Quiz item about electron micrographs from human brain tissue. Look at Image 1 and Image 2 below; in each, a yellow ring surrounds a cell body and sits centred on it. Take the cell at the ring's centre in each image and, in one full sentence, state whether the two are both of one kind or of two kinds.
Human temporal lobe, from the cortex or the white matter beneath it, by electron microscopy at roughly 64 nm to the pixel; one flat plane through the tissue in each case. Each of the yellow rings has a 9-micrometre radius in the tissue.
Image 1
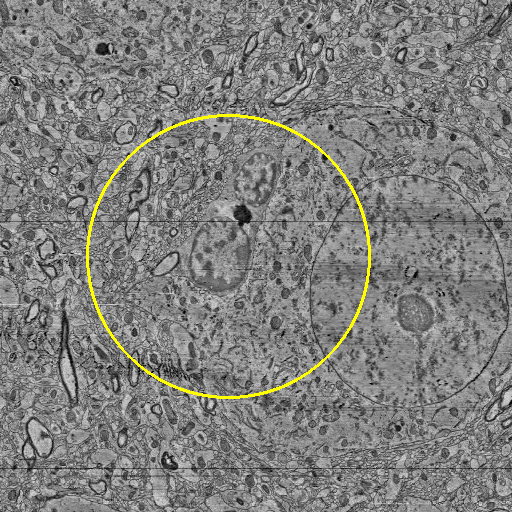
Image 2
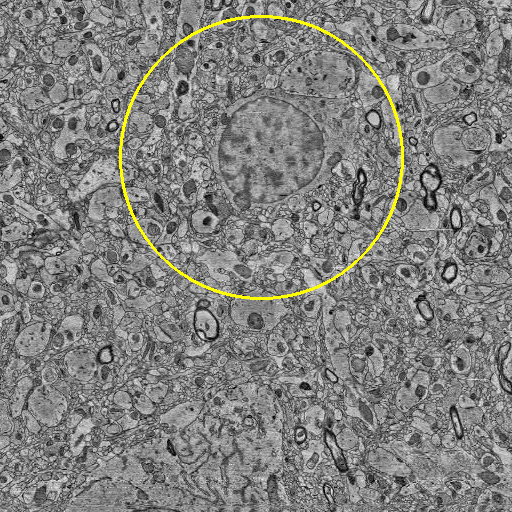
In Image 1 and Image 2, the cells at the ring centres are both of one kind.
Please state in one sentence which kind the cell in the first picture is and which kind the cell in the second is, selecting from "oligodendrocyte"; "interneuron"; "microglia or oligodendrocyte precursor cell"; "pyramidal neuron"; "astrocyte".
Each of the two cells is an oligodendrocyte.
